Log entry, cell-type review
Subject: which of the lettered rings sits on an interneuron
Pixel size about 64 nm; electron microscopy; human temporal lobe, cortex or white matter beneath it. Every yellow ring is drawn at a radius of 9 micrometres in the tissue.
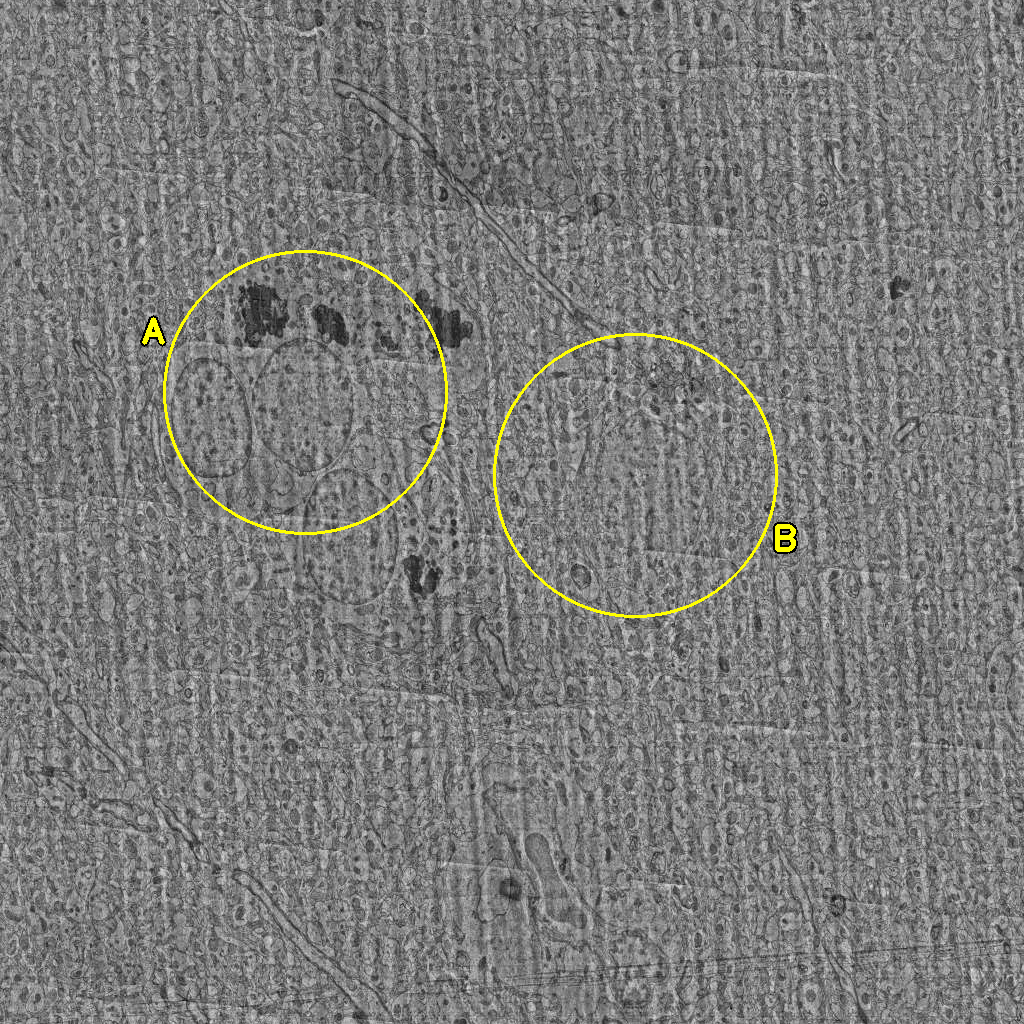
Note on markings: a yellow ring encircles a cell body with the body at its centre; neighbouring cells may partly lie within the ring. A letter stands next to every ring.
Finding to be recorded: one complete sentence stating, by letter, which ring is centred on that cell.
The cell sits at the centre of ring B.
